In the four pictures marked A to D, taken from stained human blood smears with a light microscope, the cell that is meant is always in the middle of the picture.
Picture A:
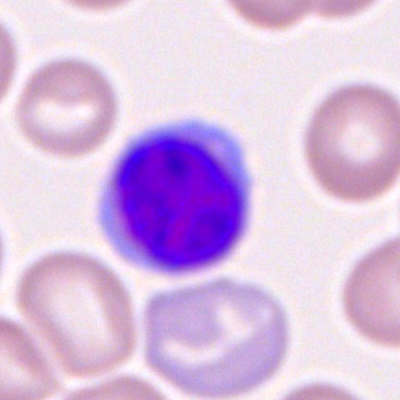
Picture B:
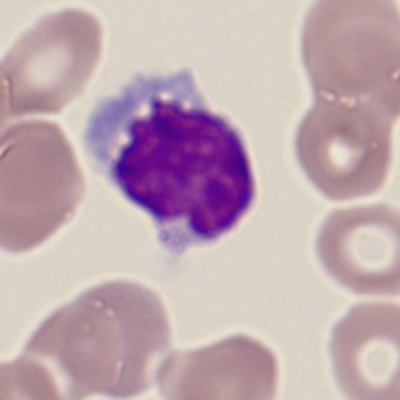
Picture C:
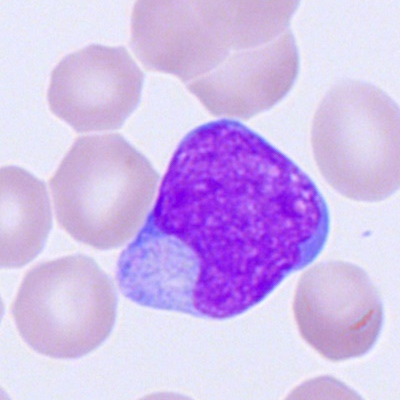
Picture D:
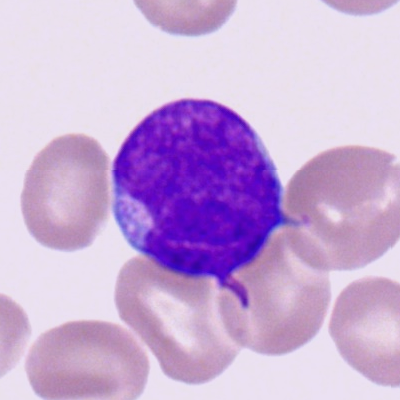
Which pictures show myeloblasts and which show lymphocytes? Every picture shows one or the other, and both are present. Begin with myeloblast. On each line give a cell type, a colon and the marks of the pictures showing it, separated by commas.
myeloblast: C, D
lymphocyte: A, B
